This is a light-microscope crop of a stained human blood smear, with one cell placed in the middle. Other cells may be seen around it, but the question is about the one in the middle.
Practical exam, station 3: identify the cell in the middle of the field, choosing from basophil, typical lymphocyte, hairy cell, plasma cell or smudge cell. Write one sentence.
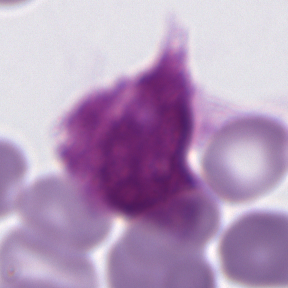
The cell at the middle of the frame should be recorded as a smudge cell.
